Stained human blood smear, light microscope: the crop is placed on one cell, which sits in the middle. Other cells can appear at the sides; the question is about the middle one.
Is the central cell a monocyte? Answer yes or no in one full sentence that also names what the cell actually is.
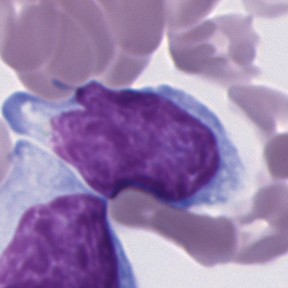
No, what the centre of the crop shows is a myeloblast, not a monocyte.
